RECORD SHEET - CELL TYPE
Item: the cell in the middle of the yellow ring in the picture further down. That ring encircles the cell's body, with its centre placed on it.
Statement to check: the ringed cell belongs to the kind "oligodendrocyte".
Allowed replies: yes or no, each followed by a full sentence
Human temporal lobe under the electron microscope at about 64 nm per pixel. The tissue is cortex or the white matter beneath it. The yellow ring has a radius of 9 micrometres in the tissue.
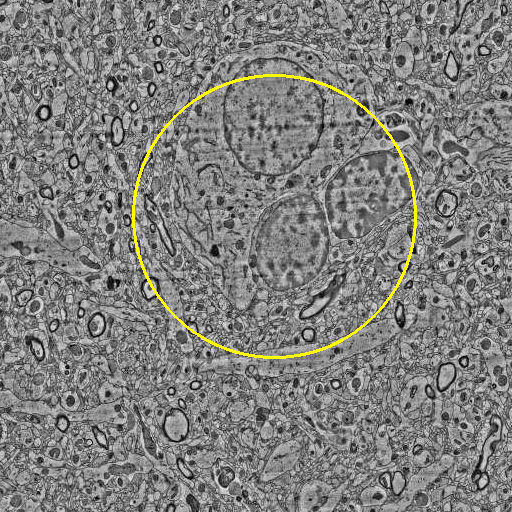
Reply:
Yes, the cell held at the centre of the ring in the picture is of that kind.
